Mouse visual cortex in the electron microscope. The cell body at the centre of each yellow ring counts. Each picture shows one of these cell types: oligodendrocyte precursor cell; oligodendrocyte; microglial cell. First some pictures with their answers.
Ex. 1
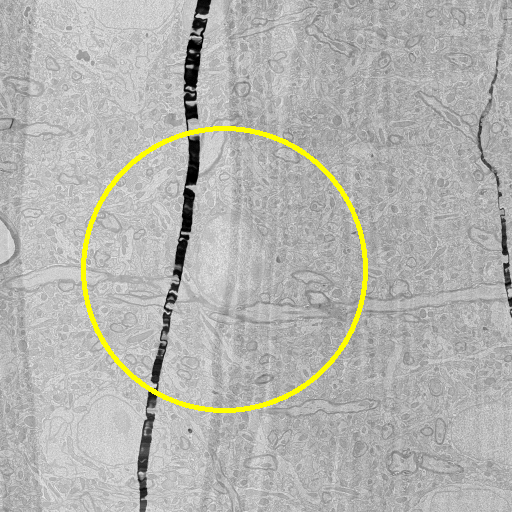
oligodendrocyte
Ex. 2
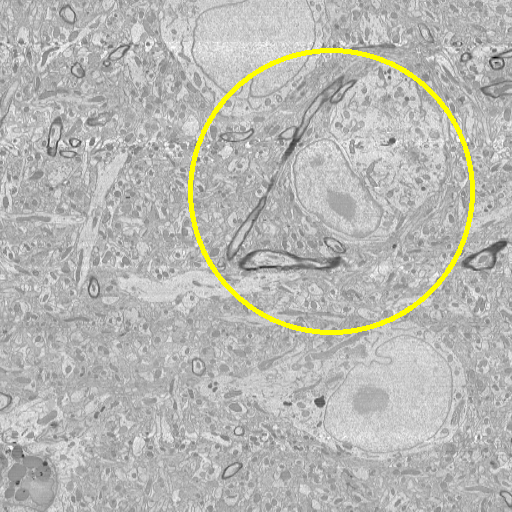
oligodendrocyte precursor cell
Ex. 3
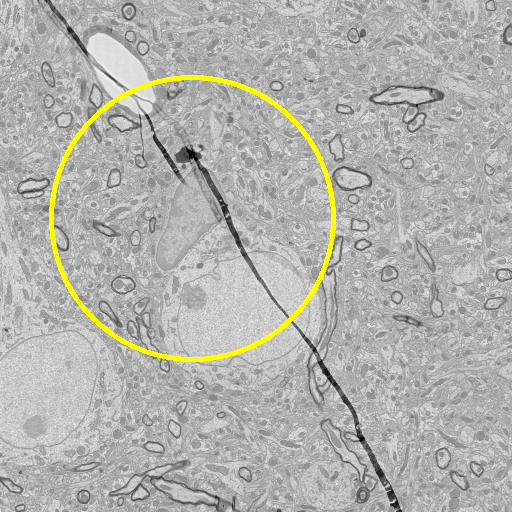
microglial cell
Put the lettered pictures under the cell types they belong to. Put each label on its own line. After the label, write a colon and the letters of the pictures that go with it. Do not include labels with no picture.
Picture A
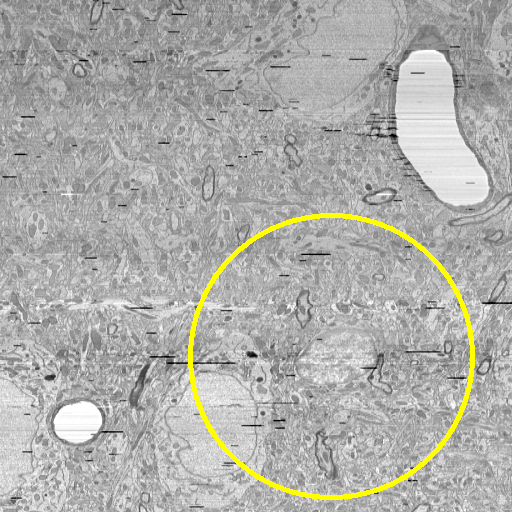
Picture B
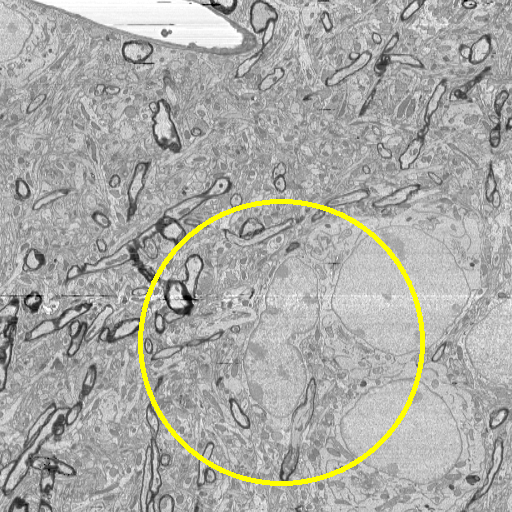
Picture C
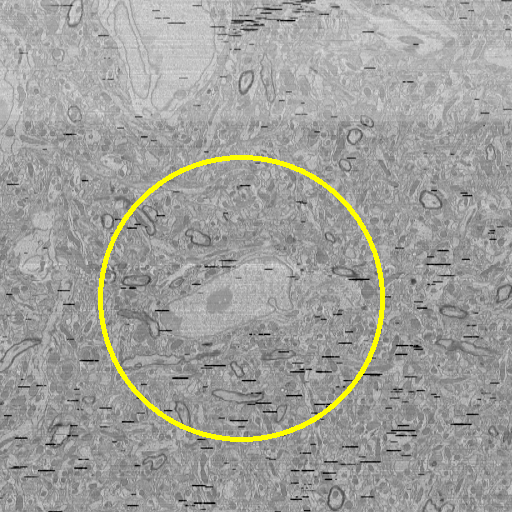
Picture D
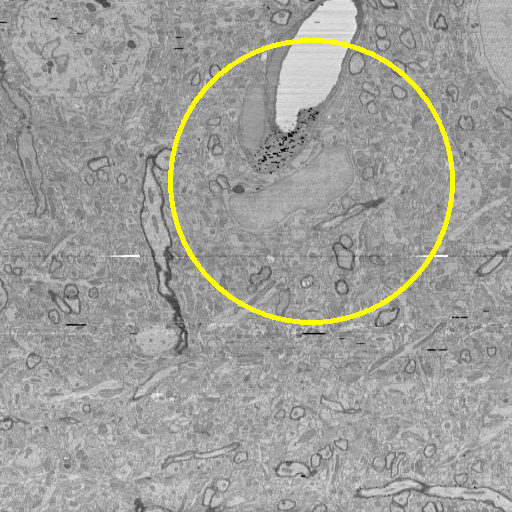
oligodendrocyte precursor cell: B, C
oligodendrocyte: A
microglial cell: D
